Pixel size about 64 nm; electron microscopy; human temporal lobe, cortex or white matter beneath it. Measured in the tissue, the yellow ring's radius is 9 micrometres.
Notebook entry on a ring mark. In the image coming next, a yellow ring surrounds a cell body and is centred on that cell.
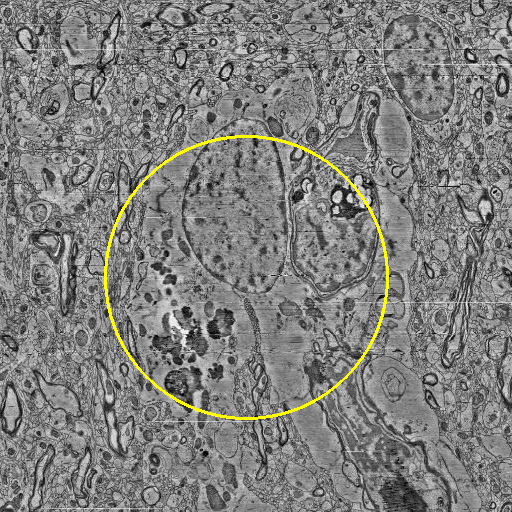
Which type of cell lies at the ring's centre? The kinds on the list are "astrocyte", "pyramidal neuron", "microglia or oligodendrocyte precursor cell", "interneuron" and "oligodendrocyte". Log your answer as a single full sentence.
Centred in the yellow ring is an astrocyte, the cell recorded for this image.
